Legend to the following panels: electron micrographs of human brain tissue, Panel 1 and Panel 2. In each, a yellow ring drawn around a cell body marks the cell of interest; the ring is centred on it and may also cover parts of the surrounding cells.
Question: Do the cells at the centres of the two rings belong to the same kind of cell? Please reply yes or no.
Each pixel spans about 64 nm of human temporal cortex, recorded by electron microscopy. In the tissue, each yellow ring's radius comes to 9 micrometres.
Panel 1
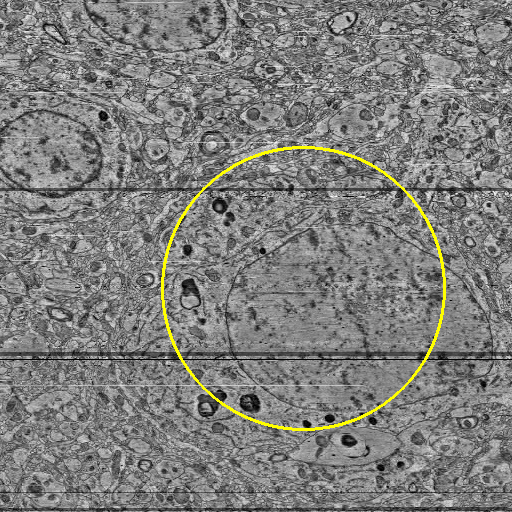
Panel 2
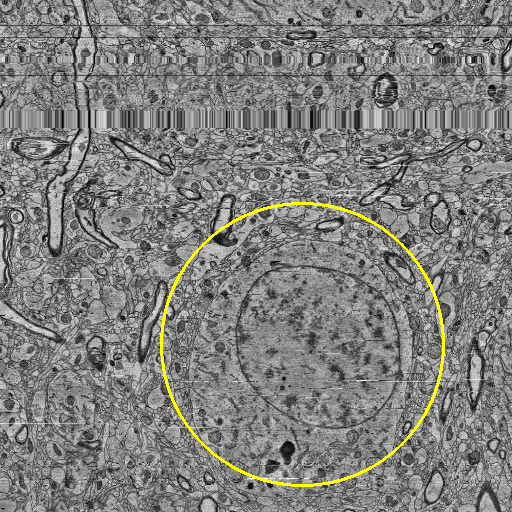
yes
